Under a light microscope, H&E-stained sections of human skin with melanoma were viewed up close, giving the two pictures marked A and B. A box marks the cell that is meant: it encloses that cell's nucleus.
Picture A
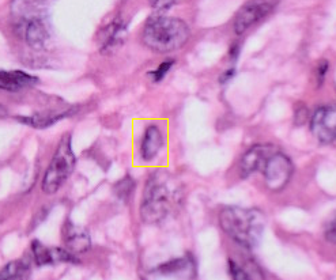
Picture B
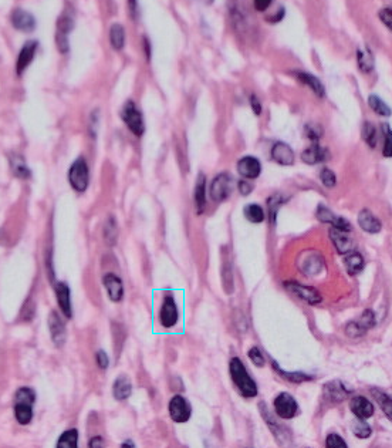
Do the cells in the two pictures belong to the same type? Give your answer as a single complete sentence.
No; the cell in picture A is a “macrophage or monocyte”, while the one in picture B is a plasma cell.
